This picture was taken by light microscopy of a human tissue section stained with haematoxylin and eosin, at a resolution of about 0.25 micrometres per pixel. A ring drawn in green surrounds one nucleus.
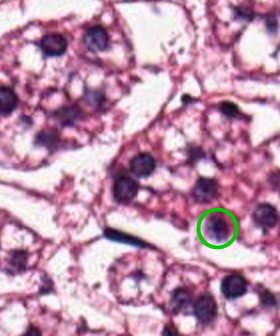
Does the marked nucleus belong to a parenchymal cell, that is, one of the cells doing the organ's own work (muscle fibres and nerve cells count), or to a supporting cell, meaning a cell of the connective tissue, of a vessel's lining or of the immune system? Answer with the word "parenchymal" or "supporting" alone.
parenchymal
